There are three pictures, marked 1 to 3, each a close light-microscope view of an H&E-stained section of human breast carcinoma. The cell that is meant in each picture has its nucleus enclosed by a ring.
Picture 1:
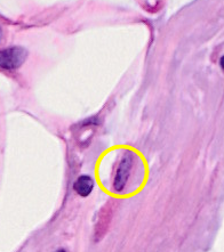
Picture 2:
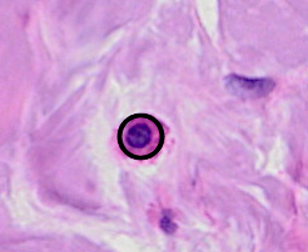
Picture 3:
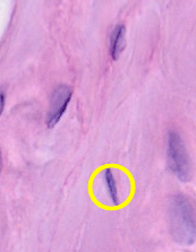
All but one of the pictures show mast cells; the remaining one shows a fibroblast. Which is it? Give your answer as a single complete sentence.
The cell in picture 3 is the fibroblast.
